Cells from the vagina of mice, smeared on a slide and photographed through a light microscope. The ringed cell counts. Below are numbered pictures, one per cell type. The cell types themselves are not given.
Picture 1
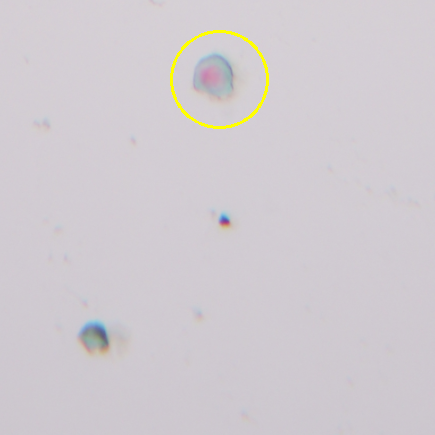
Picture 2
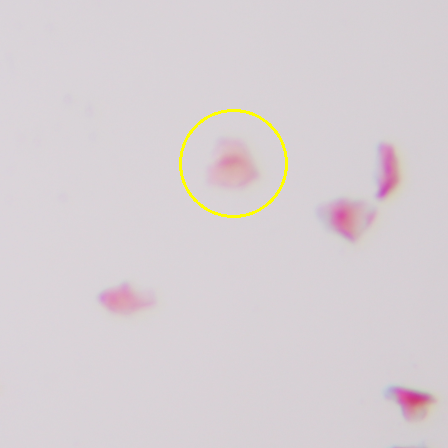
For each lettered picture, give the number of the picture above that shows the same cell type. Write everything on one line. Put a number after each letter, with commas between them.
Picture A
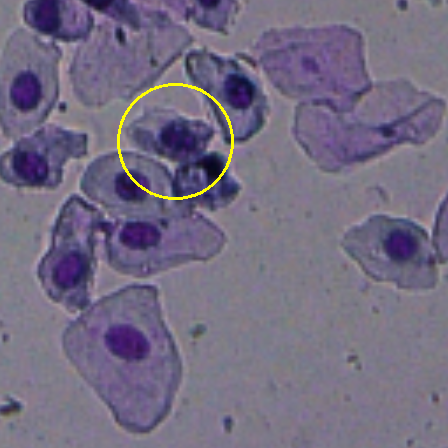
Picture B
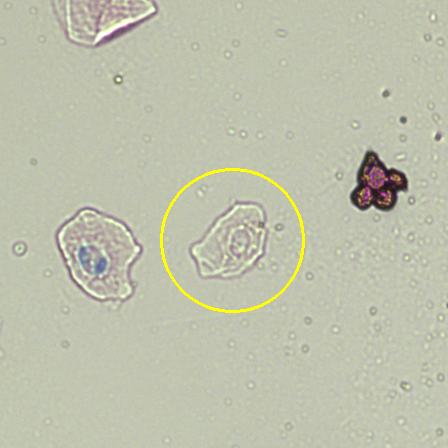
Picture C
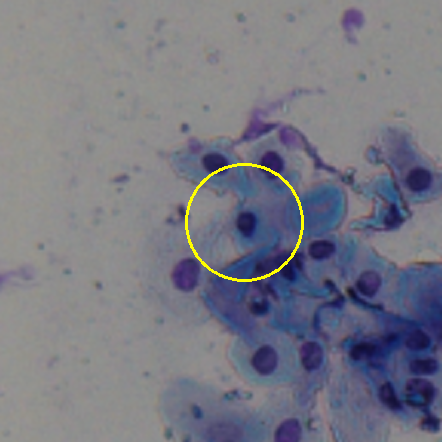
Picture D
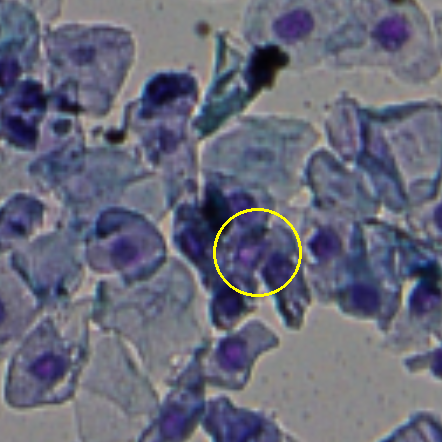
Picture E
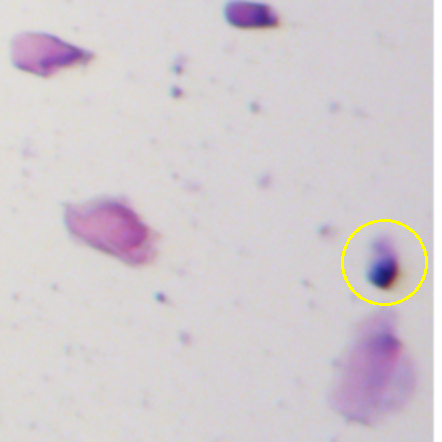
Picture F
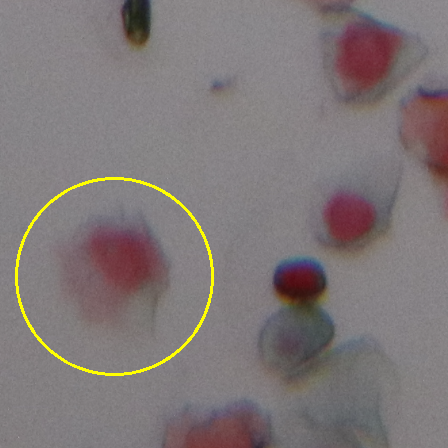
A 1, B 2, C 1, D 1, E 1, F 1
